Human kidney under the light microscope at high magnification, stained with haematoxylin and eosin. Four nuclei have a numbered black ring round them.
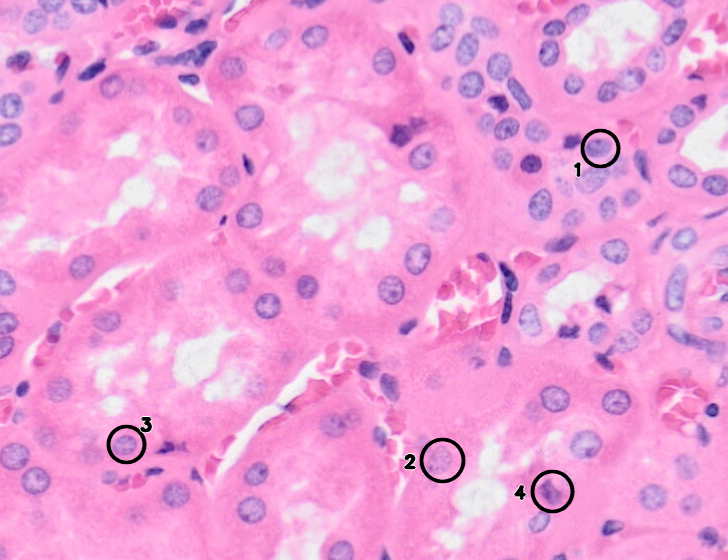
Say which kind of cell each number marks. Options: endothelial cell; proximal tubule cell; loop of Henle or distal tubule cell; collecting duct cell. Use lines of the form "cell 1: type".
cell 1: collecting duct cell
cell 2: proximal tubule cell
cell 3: proximal tubule cell
cell 4: proximal tubule cell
